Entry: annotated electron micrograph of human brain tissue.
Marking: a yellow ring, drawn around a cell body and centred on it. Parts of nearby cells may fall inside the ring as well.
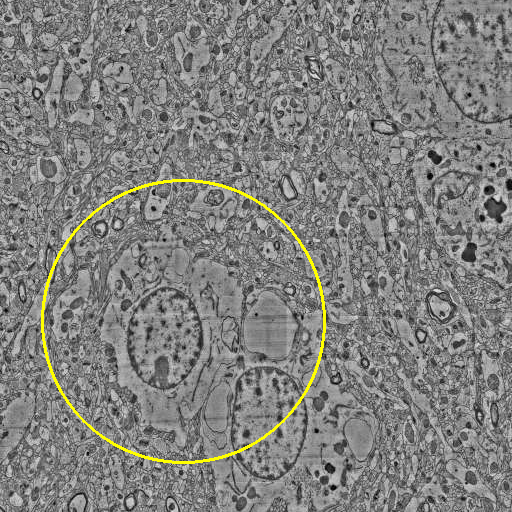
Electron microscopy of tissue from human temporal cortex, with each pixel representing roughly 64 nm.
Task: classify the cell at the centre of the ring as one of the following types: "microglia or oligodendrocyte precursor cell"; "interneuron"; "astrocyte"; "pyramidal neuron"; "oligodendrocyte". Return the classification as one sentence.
The marked cell is classified as an astrocyte.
